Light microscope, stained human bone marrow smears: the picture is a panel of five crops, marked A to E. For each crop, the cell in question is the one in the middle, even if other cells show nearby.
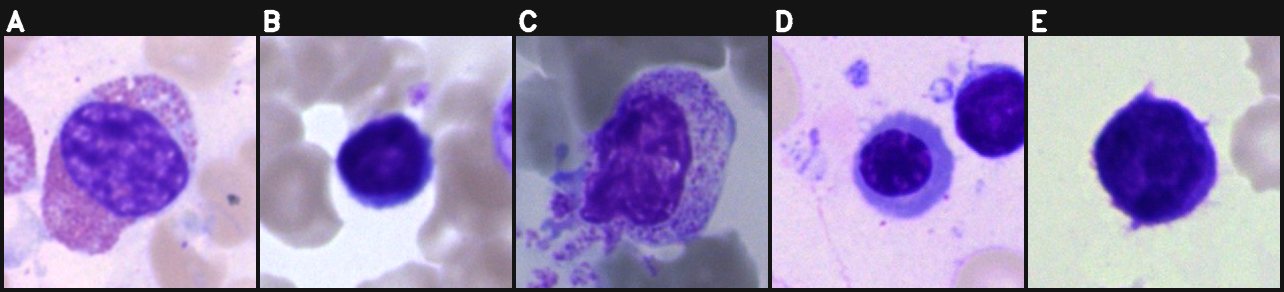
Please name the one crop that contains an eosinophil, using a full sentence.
Crop A matches the request, showing an eosinophil.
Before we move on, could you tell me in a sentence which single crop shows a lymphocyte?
Crop B is the single crop that shows a lymphocyte.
